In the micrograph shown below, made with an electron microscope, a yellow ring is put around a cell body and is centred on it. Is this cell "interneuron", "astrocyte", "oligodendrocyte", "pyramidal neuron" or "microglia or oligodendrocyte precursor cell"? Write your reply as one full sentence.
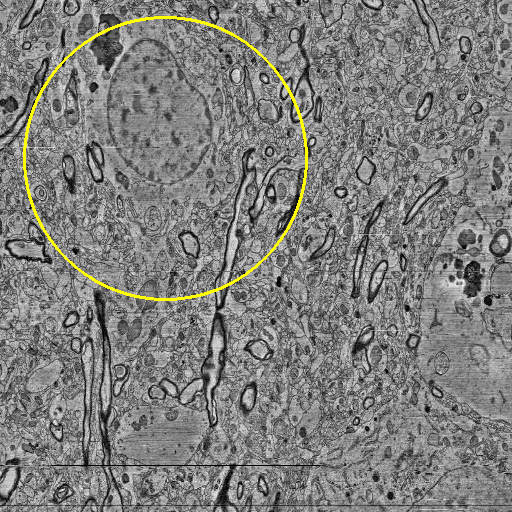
In the micrograph, an astrocyte is the cell at the centre of the yellow ring.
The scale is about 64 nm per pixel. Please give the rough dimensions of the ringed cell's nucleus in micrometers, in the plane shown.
The nucleus measures about 10 by 7 micrometres in this plane.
